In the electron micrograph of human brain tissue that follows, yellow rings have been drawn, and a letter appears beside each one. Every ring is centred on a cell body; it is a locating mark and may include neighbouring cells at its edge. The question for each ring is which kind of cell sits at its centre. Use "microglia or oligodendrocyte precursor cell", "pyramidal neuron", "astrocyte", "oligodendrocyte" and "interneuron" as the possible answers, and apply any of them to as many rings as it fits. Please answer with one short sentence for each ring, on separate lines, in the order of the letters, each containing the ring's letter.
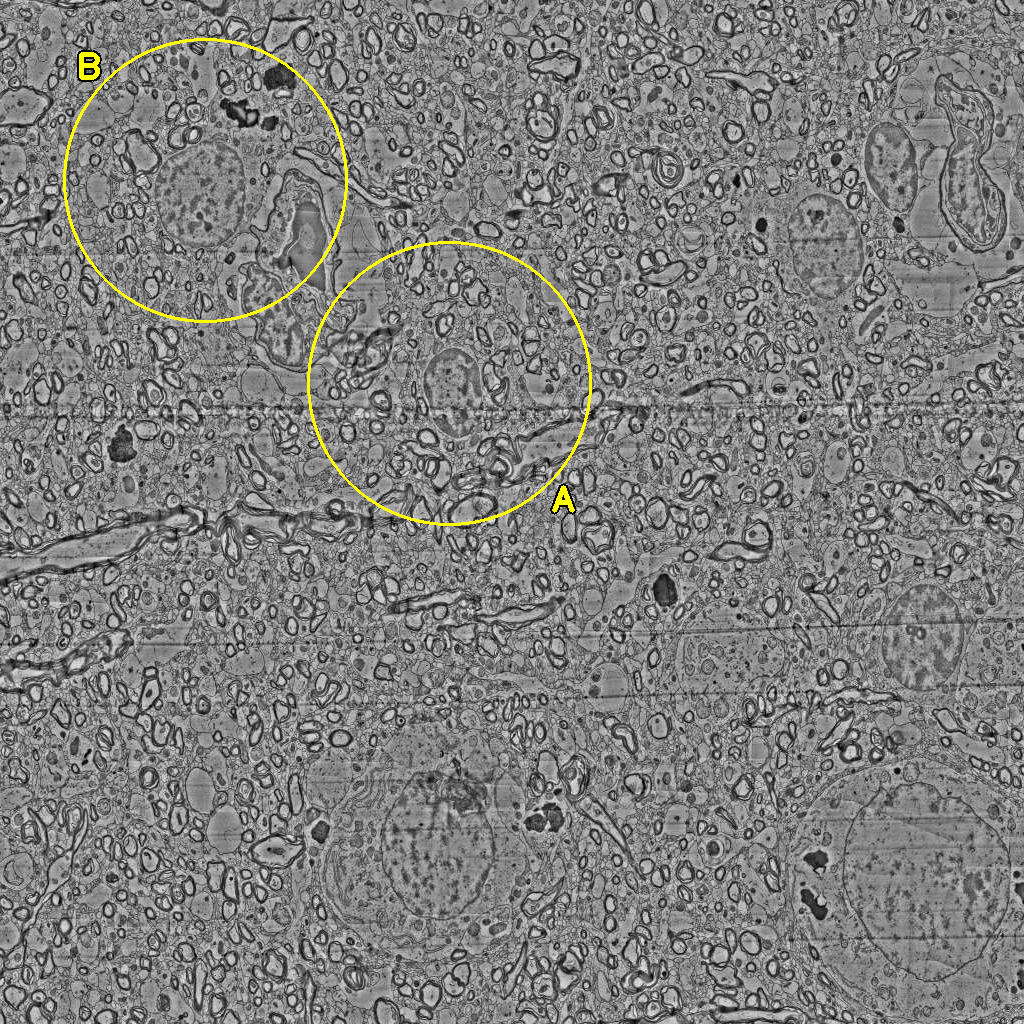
Sitting at the centre of ring A is a microglial cell or oligodendrocyte precursor cell.
Sitting at the centre of ring B is an oligodendrocyte.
